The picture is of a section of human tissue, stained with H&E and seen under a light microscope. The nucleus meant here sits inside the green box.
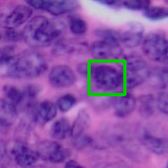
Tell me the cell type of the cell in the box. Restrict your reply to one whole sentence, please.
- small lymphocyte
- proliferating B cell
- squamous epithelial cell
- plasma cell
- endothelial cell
By cell type, the cell in the box is a proliferating B cell.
